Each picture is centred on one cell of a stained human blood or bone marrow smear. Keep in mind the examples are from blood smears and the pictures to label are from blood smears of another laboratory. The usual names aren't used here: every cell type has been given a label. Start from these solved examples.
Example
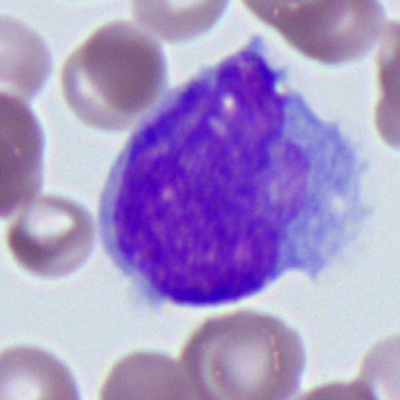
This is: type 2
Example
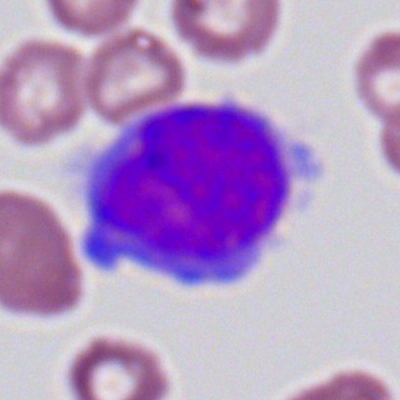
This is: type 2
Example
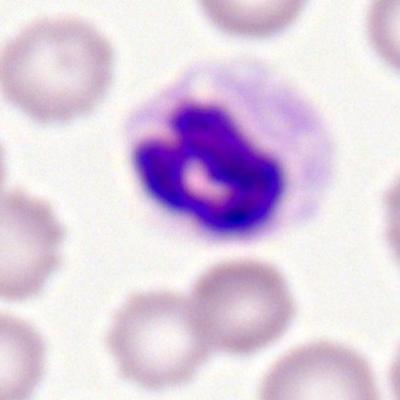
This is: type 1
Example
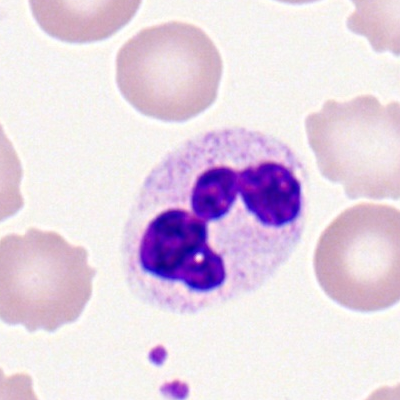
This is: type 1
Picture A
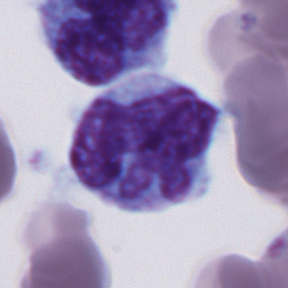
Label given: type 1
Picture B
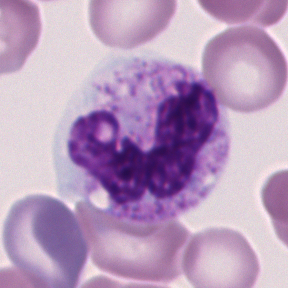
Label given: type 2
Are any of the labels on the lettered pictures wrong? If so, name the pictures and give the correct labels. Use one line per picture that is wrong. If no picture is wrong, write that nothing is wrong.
A is labelled type 1; correct label: type 2
B is labelled type 2; correct label: type 1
